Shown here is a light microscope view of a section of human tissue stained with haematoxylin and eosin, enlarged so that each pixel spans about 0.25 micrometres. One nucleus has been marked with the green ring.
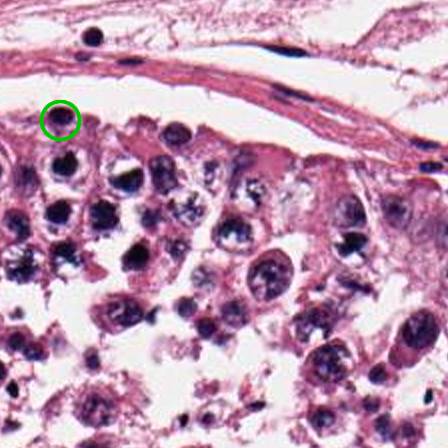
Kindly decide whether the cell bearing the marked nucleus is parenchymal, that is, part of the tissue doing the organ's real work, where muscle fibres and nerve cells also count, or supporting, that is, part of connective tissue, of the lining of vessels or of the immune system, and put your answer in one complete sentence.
The marked nucleus lies within a parenchymal cell, which is a spermatogonium.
